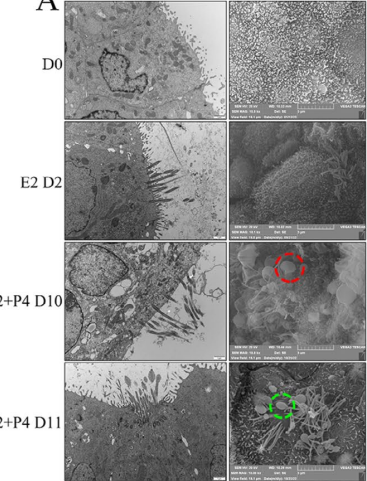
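Transmission sections are on the left, scanning views are on the right. In the top row, the cell apex carries only short, finger-like microvilli. Lower rows show long, slender projections rising from the apical surface in bundles. In the scanning images these appear as tufts of cilia among a microvillous surface. One scanning view has a red circle around a smooth, dome-like bulge of the apical surface. Another has a green circle around cilia that seem to end in rounded swellings. The bottom scanning view shows a prominent tuft of cilia.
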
